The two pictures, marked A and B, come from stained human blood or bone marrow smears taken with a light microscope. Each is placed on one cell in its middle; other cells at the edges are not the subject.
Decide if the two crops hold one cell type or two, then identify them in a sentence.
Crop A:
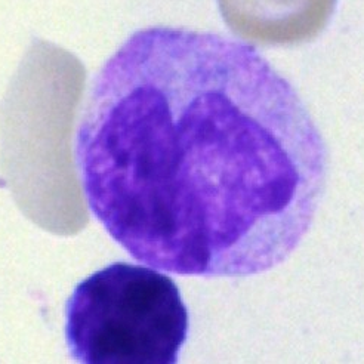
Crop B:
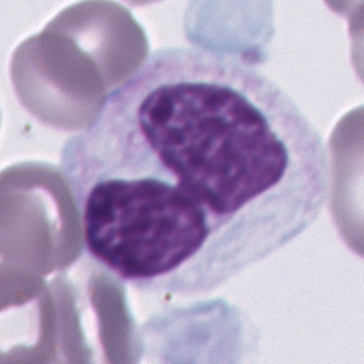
No, crop A displays a monocyte and crop B displays a band neutrophil.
